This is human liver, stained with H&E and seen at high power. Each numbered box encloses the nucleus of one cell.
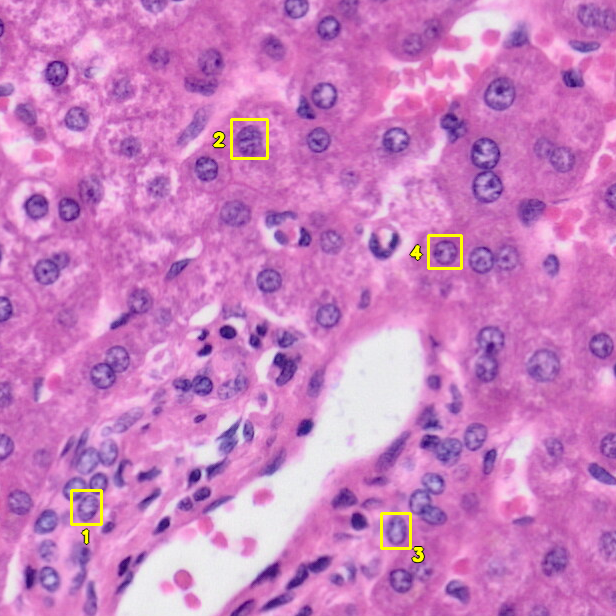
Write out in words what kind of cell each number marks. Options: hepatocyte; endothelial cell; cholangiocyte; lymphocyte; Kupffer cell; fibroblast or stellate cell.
Cell 1 is a cholangiocyte, cell 2 is a hepatocyte, cell 3 is a cholangiocyte and cell 4 is a hepatocyte.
